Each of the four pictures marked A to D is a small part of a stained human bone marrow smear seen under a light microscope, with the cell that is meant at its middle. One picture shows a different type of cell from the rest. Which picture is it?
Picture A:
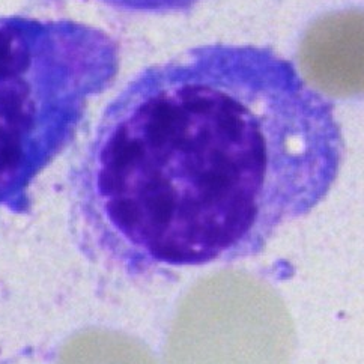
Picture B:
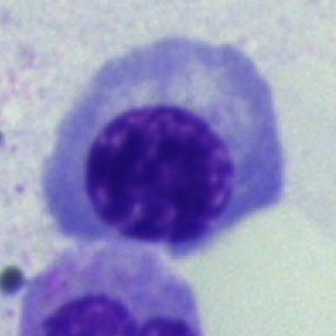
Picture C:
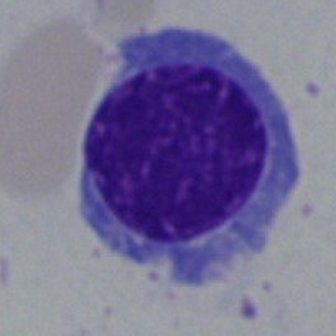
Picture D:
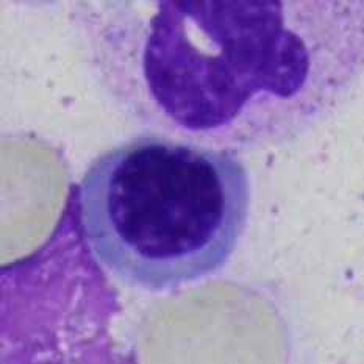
A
